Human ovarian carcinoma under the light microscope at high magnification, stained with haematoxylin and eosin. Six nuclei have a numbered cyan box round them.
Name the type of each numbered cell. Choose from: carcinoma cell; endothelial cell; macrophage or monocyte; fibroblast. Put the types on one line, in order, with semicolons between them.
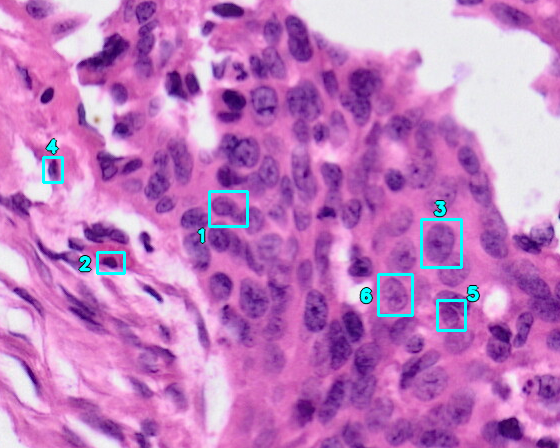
carcinoma cell; endothelial cell; carcinoma cell; fibroblast; carcinoma cell; carcinoma cell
